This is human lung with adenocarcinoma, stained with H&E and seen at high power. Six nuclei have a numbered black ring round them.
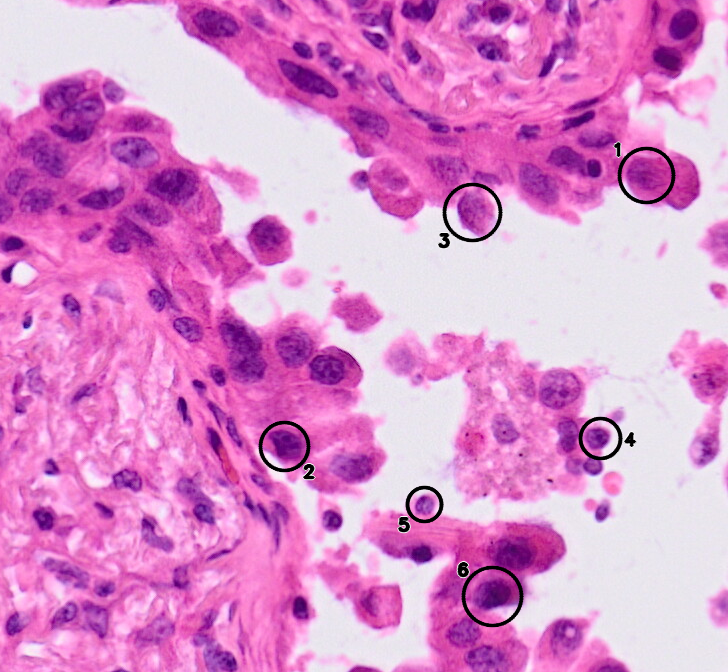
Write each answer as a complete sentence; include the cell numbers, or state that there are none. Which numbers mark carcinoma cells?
The cells picked out by numbers 1, 2, 3 and 6 are carcinoma cells.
